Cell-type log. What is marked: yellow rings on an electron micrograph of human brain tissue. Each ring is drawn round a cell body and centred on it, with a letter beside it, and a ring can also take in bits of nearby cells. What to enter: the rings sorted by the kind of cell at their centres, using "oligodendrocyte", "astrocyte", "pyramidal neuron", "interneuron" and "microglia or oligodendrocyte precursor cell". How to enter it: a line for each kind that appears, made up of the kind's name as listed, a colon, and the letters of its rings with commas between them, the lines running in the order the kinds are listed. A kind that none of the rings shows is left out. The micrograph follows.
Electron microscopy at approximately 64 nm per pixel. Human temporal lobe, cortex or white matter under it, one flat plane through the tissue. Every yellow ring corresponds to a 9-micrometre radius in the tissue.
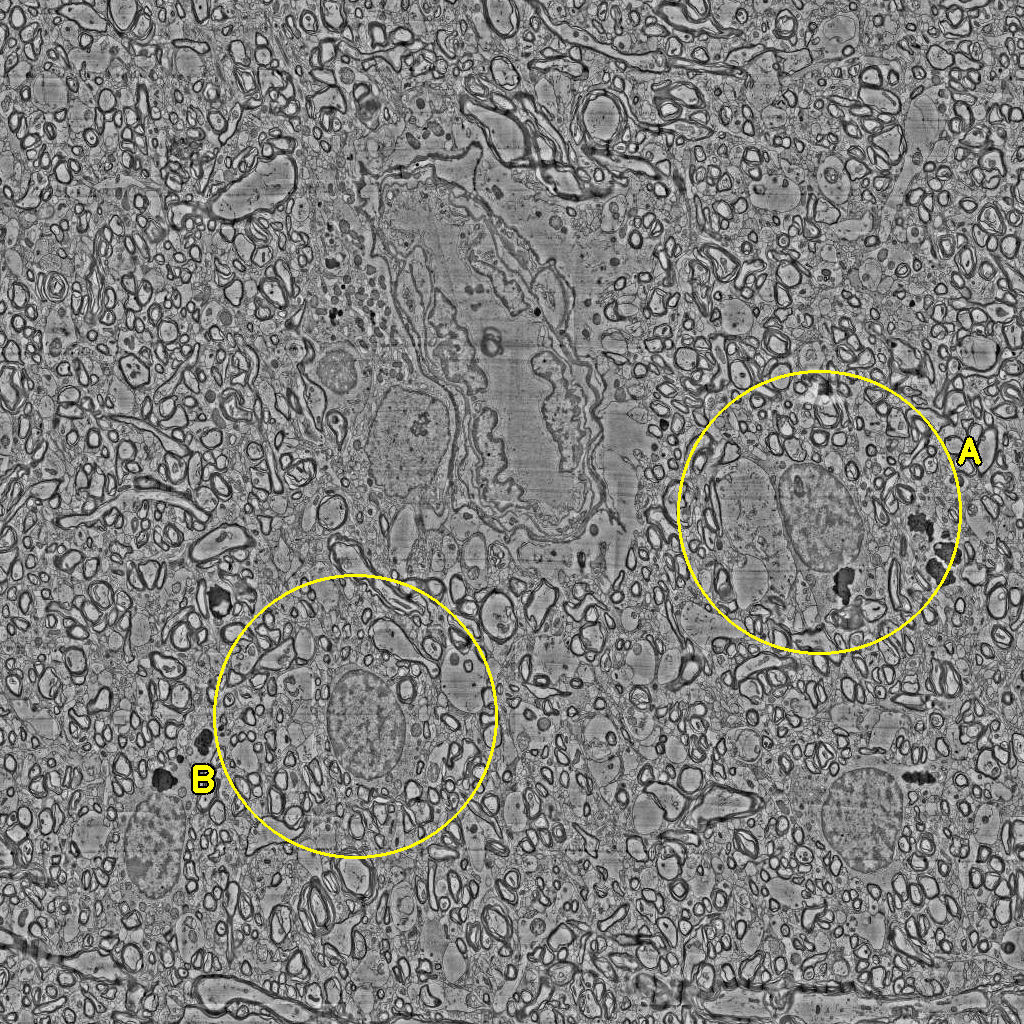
oligodendrocyte: A, B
